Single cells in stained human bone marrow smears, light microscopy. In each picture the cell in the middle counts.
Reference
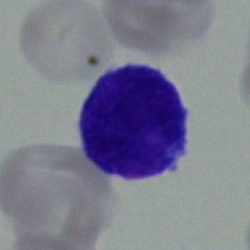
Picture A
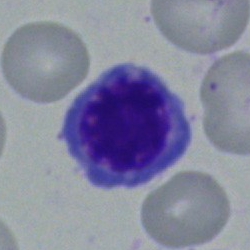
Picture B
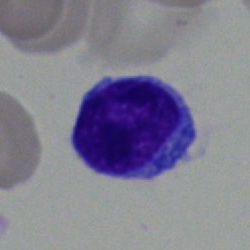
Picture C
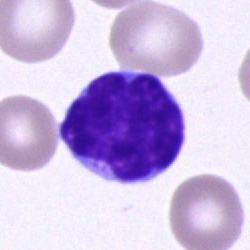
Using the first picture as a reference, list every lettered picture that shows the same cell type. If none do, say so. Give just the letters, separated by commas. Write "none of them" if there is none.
none of them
